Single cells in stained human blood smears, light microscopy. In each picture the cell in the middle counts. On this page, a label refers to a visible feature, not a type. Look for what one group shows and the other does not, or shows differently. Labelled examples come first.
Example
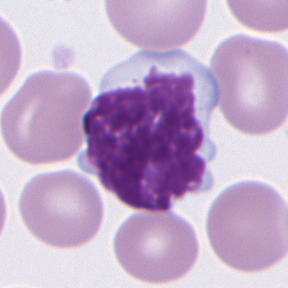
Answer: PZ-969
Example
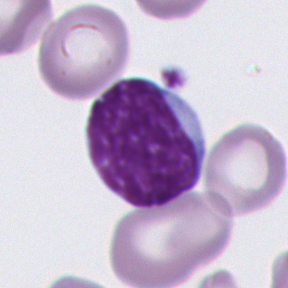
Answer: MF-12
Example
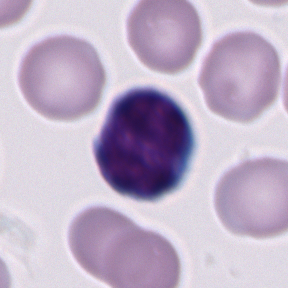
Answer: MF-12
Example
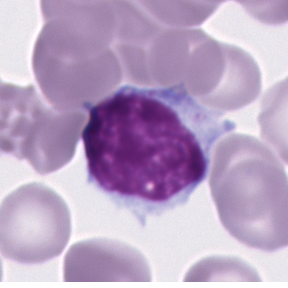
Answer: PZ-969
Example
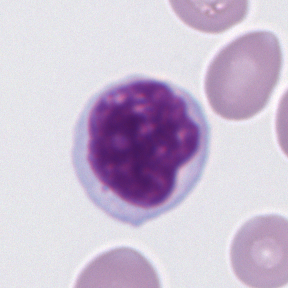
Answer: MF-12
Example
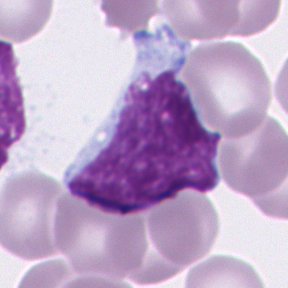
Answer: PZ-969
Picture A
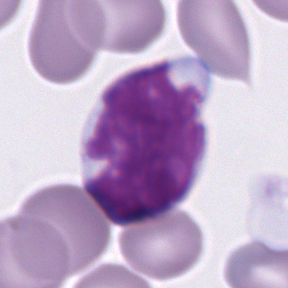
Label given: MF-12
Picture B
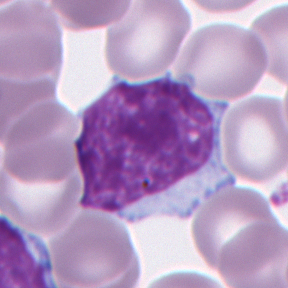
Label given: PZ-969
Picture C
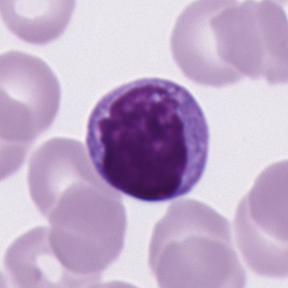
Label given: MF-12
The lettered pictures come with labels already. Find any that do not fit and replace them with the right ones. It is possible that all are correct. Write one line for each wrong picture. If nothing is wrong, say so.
Nothing to fix; every label fits.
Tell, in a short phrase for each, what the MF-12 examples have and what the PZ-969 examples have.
In MF-12: smooth outline. In PZ-969: ragged outline or projections.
